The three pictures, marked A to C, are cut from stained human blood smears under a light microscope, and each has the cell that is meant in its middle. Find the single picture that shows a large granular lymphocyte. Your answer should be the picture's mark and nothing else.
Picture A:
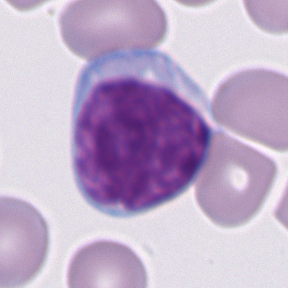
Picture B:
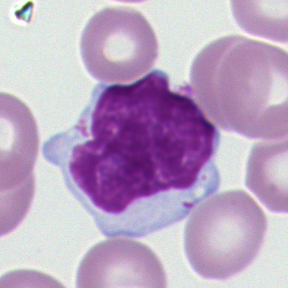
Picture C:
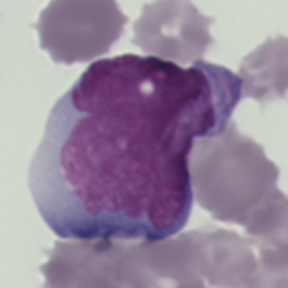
B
